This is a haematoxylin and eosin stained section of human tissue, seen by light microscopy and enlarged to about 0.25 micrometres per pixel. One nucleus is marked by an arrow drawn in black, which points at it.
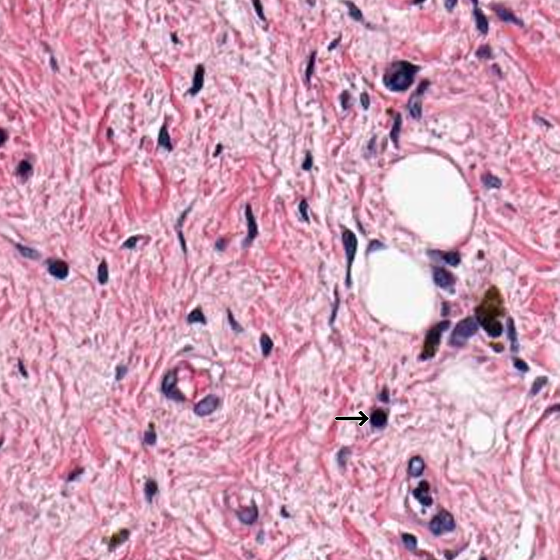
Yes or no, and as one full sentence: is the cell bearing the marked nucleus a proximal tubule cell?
No, the marked nucleus is that of a supporting cell instead of a proximal tubule cell.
